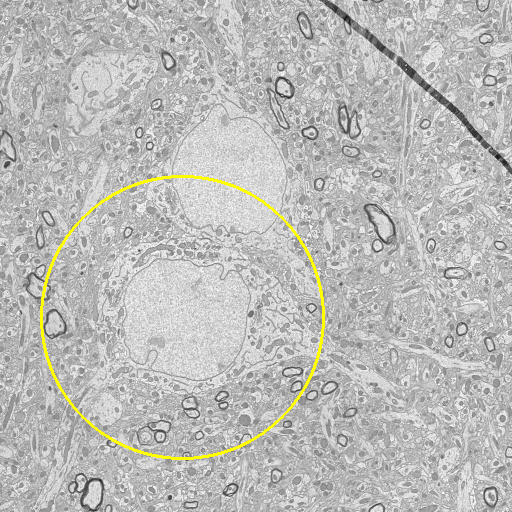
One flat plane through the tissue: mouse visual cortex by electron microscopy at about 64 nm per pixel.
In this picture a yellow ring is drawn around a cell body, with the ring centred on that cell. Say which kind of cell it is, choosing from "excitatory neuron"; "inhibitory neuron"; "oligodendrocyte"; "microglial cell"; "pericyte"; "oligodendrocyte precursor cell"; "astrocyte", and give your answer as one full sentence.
Here it is an inhibitory neuron that sits at the centre of the drawn yellow ring.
